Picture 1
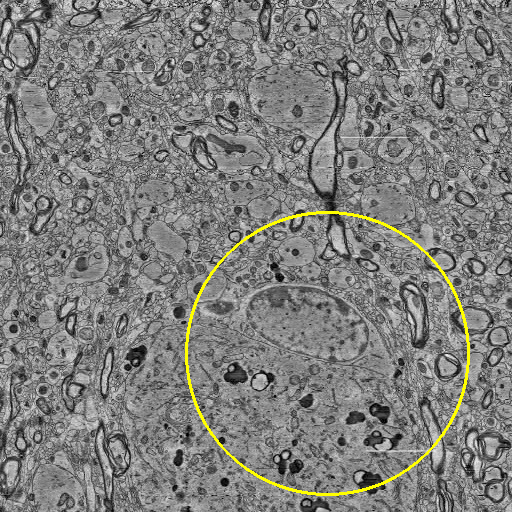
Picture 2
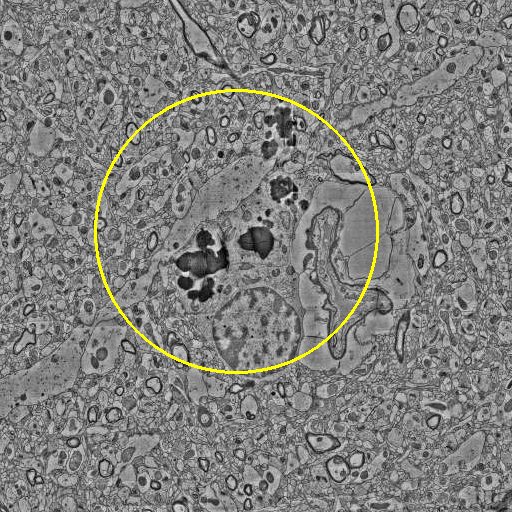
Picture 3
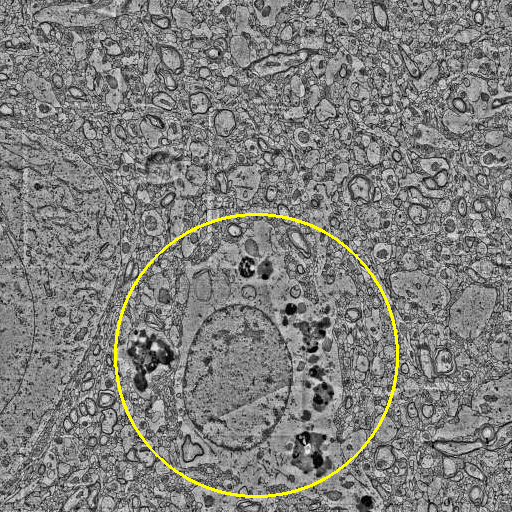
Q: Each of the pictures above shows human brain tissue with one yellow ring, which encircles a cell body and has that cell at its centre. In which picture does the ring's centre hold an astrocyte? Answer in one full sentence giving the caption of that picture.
Picture 3 is the one whose ring is centred on the cell in question.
